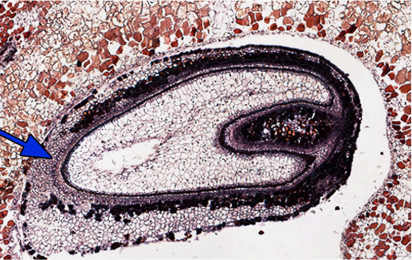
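The seed coat is a multilayered envelope: an outer row of dark cells, then layers of smaller cells, with an inner band of small, tightly packed cells tinted violet-gray, most strongly at the rounded end. Inside lies a large pale region of thin-walled cells with a central cleft, and a curved inner structure near one end.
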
